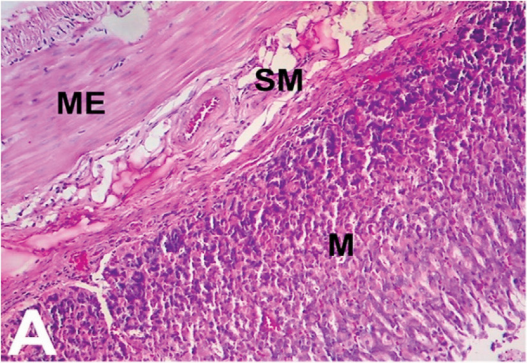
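This is a section through the wall of the glandular stomach, showing the mucosa, the submucosa and the muscularis externa in order. The mucosa is a thick, continuous layer of closely packed gastric glands whose cells have purple nuclei and pink to lilac cytoplasm, running in roughly parallel columns. Beneath it a loose, pale submucosa with small blood vessels separates it from the dense pink smooth muscle of the muscularis externa at the upper left.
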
